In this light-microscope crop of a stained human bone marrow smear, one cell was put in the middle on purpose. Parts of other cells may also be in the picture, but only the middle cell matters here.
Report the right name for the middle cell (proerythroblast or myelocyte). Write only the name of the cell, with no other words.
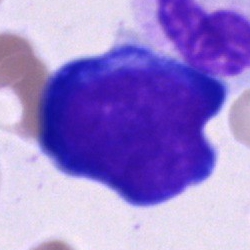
proerythroblast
